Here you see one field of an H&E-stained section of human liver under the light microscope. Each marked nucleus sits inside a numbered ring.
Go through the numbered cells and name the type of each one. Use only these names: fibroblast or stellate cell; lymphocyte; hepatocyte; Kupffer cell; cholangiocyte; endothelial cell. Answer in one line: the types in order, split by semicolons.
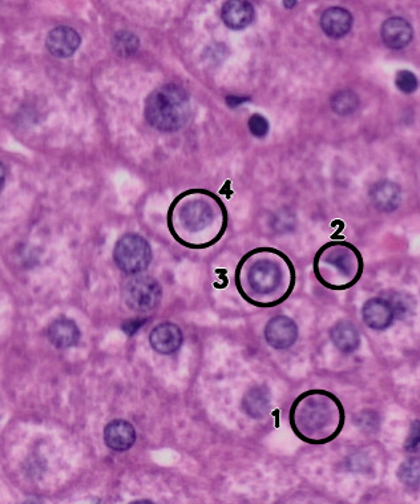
hepatocyte; endothelial cell; hepatocyte; hepatocyte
